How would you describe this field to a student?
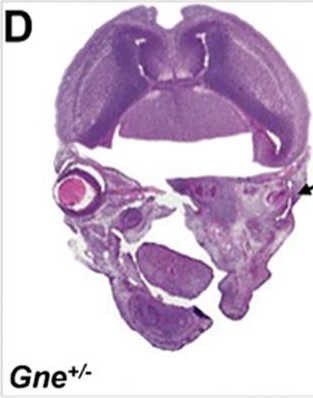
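On one side of the face lies a complete eye, with a bright pink lens surrounded by a darker layered rim. On the other side there is no full eye; only a small pink-staining remnant sits near the outer edge. The face as a whole appears asymmetric.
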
